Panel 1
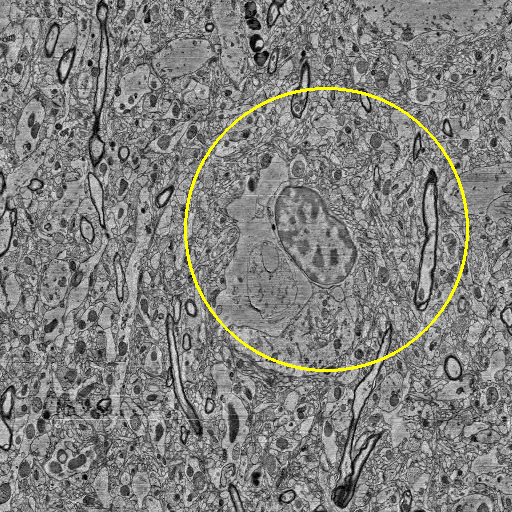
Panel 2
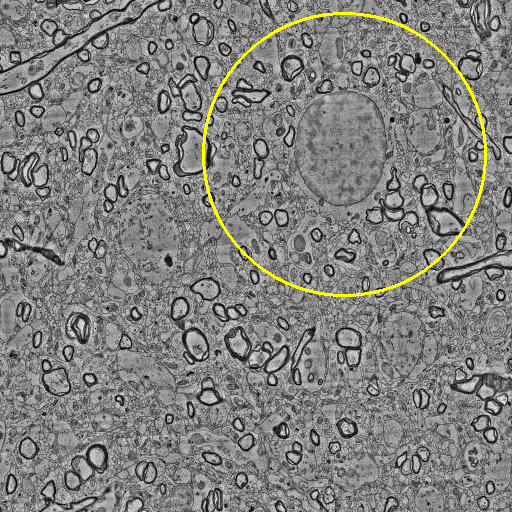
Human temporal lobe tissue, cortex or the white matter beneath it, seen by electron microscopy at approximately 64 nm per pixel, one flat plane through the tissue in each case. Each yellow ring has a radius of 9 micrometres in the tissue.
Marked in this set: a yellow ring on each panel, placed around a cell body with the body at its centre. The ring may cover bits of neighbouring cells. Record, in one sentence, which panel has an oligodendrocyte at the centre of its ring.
Panel 2 has it at the centre of its ring.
